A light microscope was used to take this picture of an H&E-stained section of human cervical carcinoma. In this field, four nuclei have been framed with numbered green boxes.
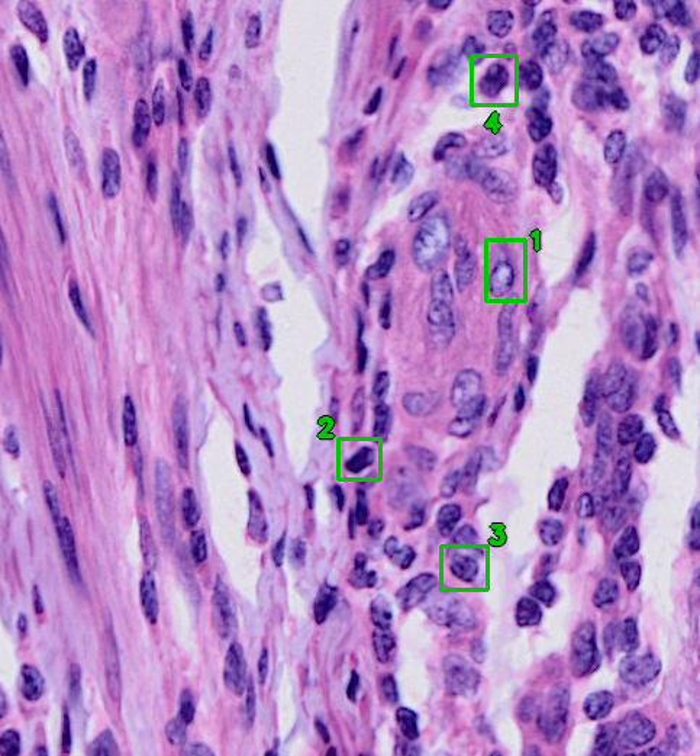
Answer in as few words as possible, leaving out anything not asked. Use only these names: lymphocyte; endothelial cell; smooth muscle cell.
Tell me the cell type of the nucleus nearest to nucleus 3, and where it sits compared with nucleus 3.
a lymphocyte above nucleus 3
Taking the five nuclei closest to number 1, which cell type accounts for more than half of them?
endothelial cell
